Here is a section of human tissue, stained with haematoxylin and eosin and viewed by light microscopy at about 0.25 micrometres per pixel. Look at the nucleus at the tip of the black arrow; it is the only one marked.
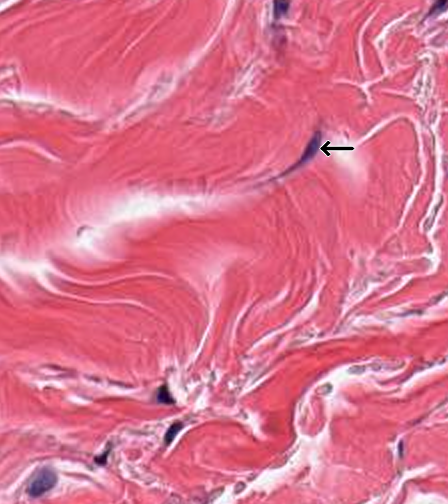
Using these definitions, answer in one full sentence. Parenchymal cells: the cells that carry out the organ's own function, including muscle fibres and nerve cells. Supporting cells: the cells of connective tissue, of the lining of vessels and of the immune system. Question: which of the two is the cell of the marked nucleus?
A supporting cell is the cell whose nucleus is marked.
